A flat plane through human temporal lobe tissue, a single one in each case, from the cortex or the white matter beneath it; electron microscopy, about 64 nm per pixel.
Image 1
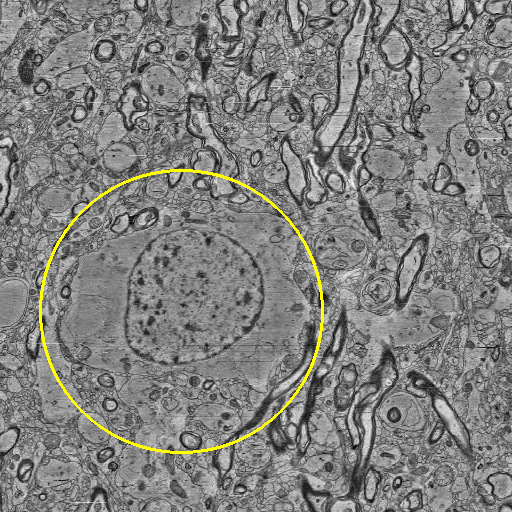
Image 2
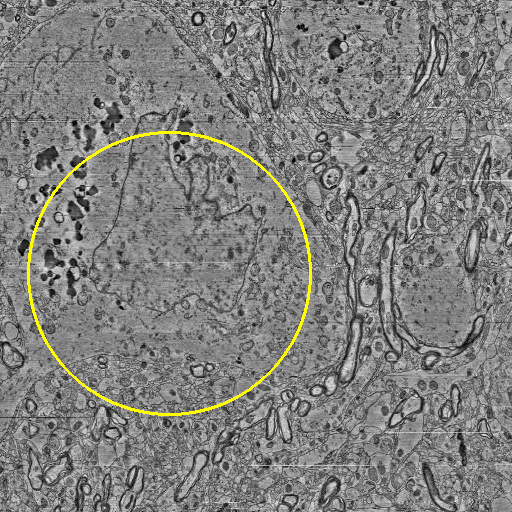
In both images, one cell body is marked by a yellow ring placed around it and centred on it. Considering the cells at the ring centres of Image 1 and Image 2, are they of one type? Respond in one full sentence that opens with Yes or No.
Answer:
No, two types apply to the ring-centred cells of Image 1 and Image 2.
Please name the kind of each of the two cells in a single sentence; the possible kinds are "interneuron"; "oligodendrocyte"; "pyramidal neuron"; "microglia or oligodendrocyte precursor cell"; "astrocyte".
In the first picture the ring is centred on an astrocyte, and in the second on a pyramidal neuron.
